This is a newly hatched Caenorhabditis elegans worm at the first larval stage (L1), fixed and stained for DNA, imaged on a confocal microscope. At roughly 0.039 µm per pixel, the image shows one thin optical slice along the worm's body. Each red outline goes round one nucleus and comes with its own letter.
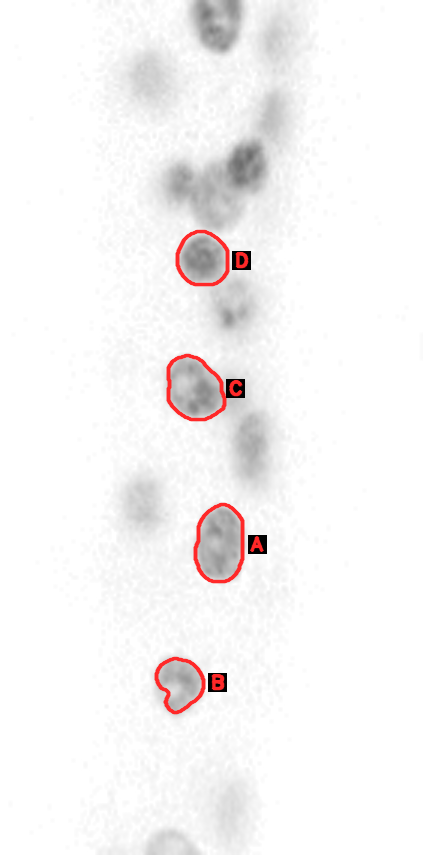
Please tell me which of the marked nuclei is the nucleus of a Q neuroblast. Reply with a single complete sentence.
Of the marked nuclei, B is the one in a Q neuroblast.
